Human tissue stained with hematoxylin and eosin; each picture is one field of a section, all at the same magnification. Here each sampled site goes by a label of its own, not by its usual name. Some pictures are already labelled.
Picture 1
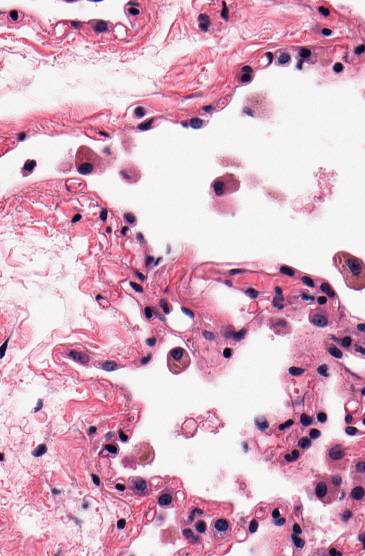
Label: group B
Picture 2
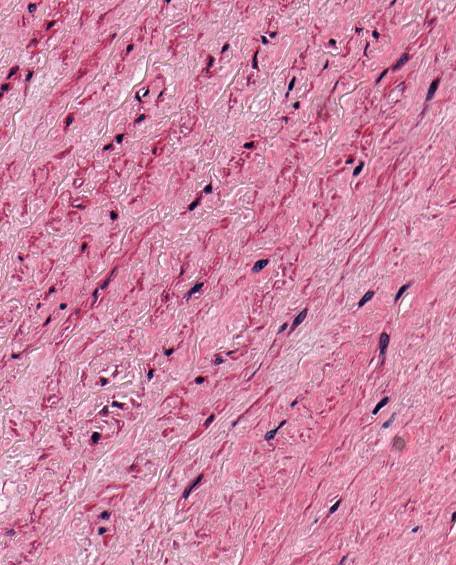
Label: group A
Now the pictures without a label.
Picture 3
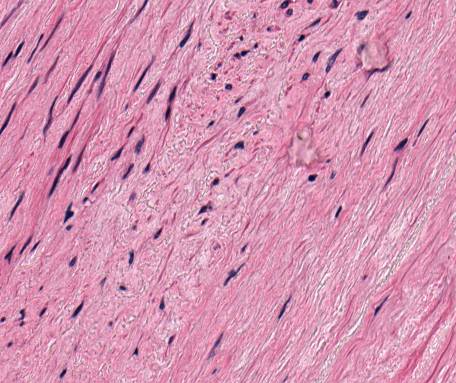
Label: group A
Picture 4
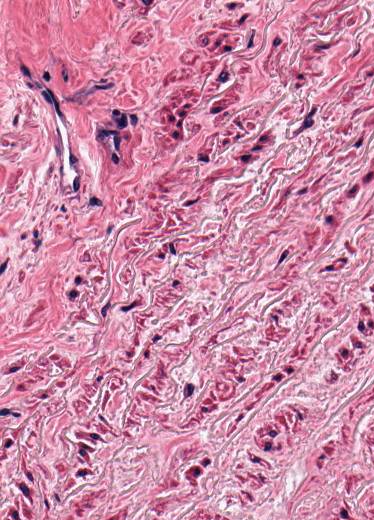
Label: group A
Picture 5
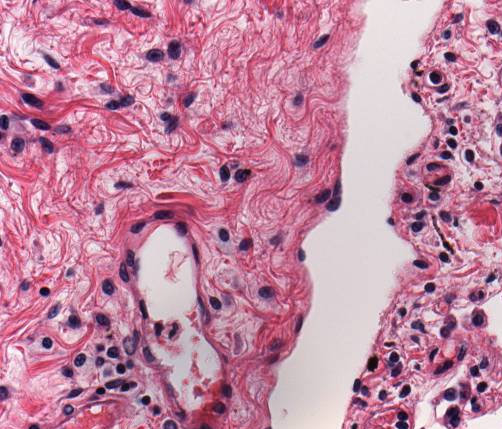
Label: group B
